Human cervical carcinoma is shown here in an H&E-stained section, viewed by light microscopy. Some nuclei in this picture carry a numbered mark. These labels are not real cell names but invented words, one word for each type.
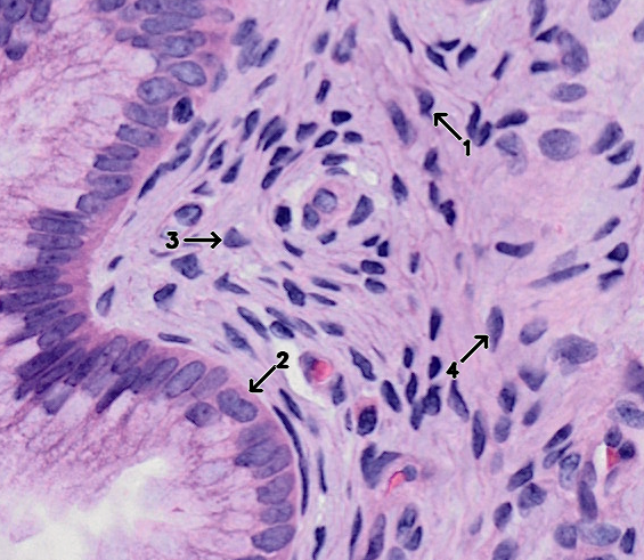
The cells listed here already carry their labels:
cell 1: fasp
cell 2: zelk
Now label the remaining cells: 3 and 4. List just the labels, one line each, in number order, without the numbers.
fasp
fasp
